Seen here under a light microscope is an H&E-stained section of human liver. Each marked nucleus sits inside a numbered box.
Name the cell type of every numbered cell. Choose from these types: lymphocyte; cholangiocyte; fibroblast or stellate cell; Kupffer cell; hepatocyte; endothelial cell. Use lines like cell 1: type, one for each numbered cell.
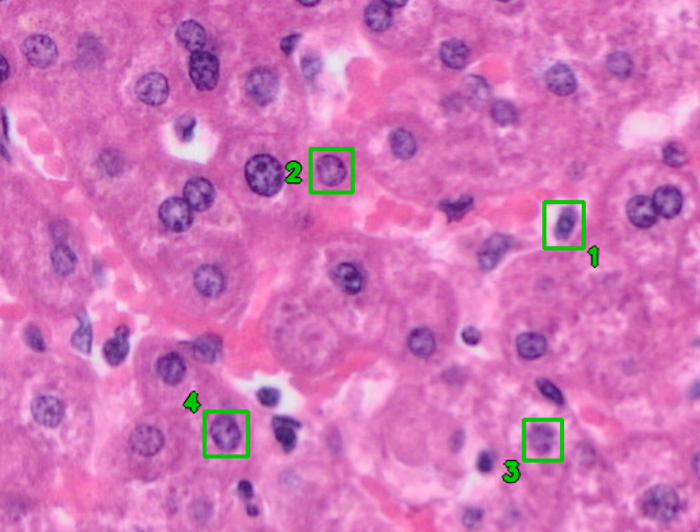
cell 1: lymphocyte
cell 2: hepatocyte
cell 3: hepatocyte
cell 4: hepatocyte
